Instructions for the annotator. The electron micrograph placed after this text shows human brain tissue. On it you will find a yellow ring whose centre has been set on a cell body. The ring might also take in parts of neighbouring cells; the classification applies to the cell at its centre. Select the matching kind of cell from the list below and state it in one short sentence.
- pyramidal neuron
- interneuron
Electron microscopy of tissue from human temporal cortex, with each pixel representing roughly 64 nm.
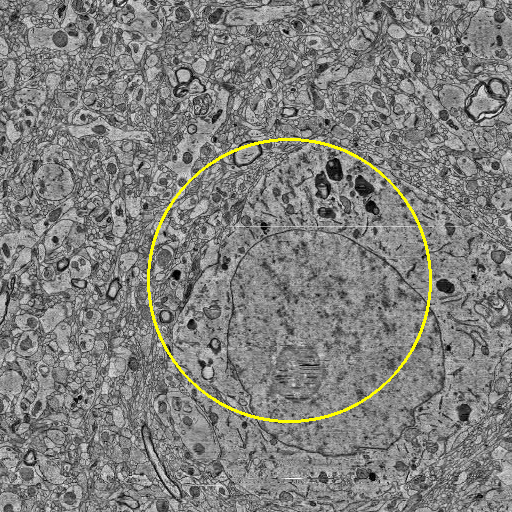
The ring is drawn on the cell body of a pyramidal neuron.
